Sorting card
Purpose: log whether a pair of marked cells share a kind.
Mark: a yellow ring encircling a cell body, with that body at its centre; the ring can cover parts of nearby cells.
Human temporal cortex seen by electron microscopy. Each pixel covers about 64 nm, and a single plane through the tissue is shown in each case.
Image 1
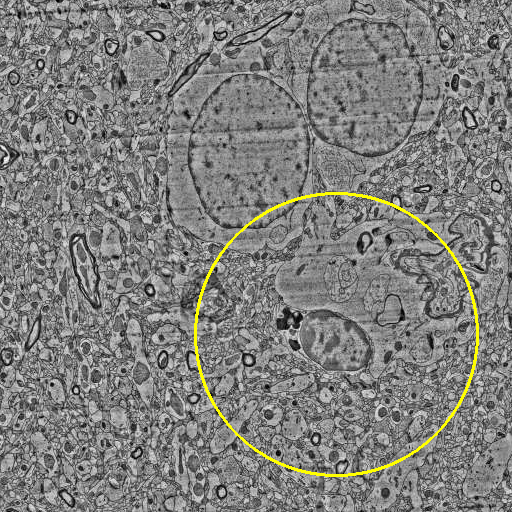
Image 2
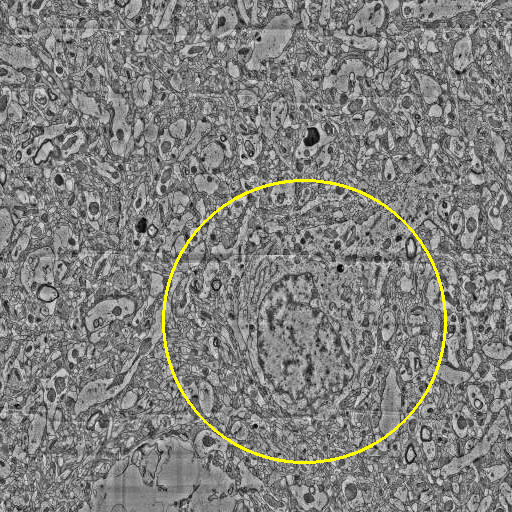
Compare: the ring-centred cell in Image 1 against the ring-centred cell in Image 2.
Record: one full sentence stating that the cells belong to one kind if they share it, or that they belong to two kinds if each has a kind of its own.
Across Images 1 and 2, the two ring-centred cells belong to two kinds.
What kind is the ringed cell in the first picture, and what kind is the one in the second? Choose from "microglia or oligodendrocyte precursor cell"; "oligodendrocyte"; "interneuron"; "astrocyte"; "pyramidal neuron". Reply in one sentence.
The first cell is a microglial cell or oligodendrocyte precursor cell; the second is an interneuron.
